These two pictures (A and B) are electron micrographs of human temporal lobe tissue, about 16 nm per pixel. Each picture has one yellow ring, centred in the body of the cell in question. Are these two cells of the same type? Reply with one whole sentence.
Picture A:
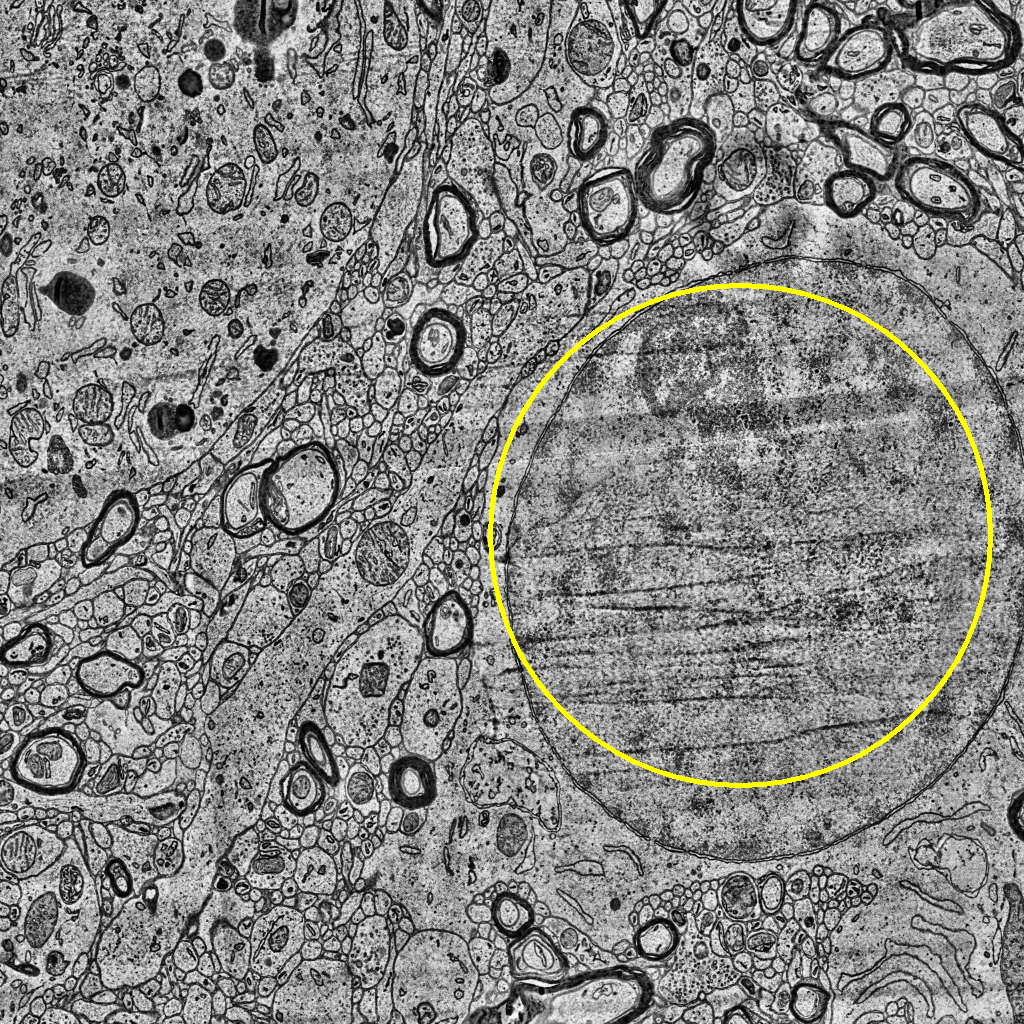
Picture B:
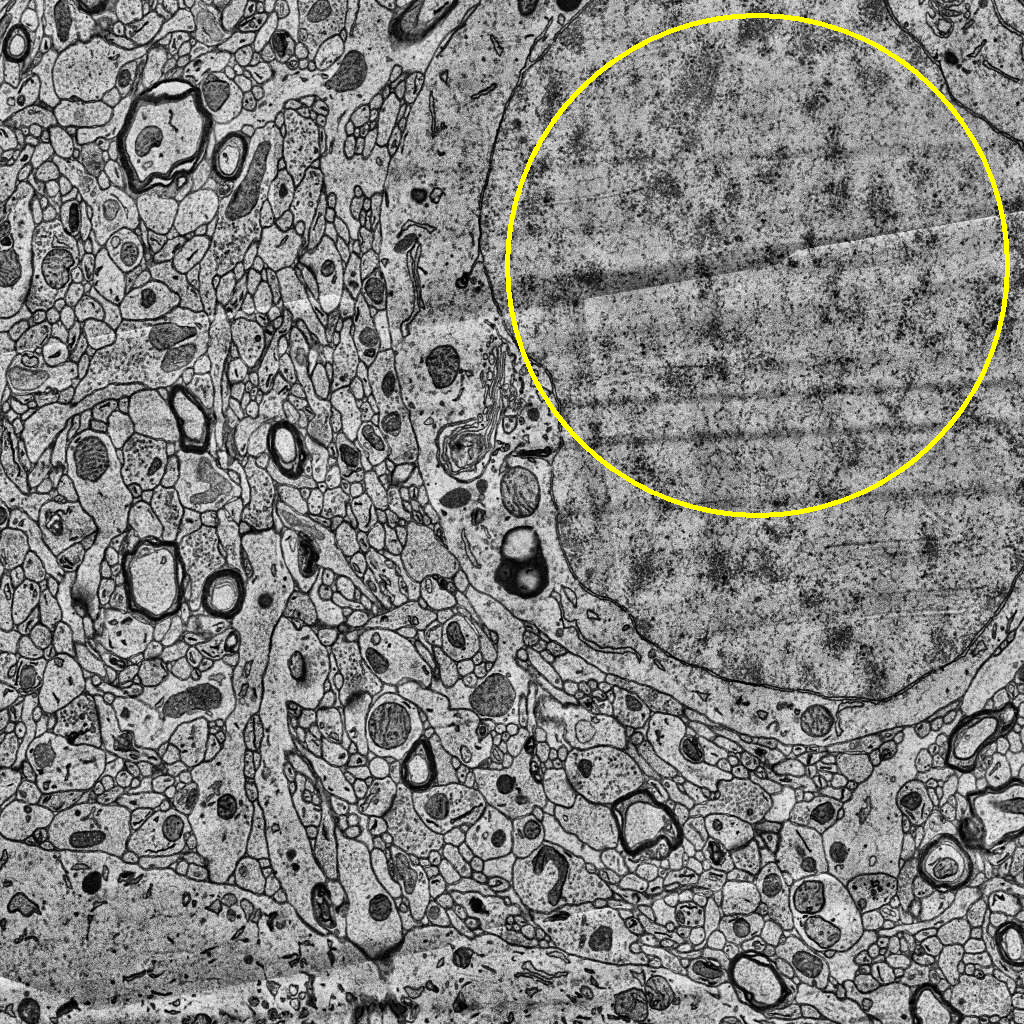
No; the cell in picture A is an astrocyte, while the one in picture B is a pyramidal neuron.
